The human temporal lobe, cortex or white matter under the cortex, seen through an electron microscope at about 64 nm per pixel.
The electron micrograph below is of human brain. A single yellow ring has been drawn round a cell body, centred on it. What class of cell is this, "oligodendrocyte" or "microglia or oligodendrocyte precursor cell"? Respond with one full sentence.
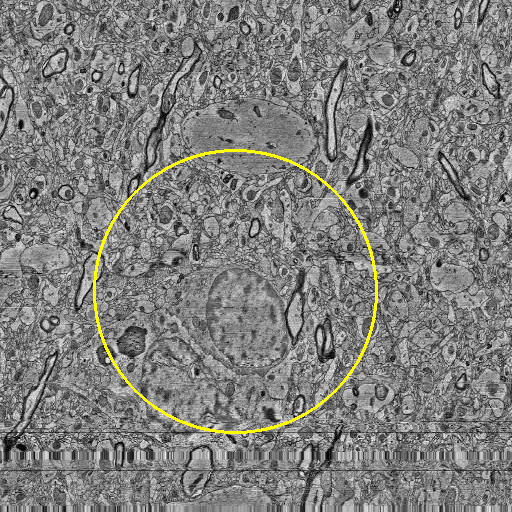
In the micrograph, the cell centred inside the yellow ring is an oligodendrocyte.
